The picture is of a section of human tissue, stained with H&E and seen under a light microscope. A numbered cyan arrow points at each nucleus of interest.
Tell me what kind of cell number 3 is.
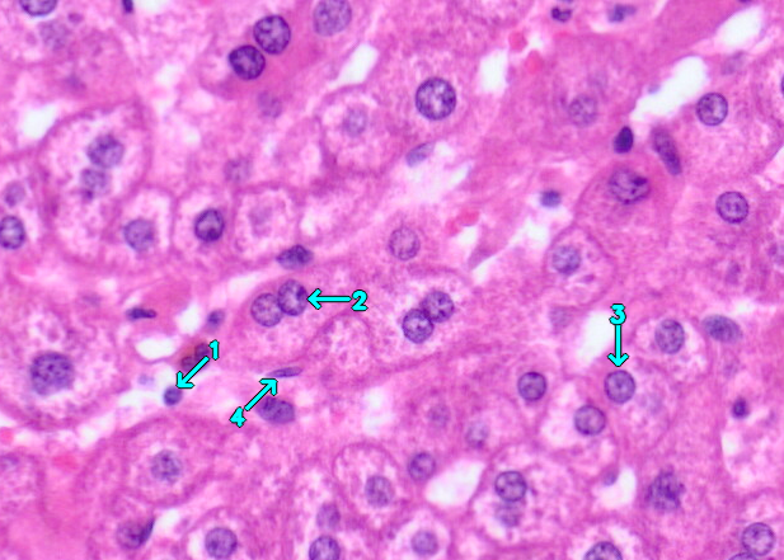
hepatocyte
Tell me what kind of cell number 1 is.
lymphocyte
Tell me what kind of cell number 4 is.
endothelial cell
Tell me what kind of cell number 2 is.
hepatocyte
